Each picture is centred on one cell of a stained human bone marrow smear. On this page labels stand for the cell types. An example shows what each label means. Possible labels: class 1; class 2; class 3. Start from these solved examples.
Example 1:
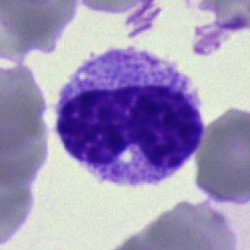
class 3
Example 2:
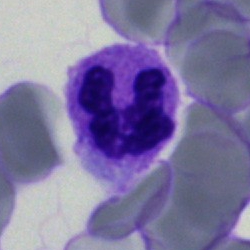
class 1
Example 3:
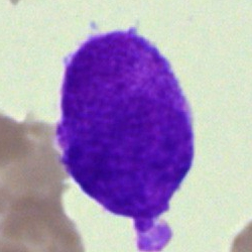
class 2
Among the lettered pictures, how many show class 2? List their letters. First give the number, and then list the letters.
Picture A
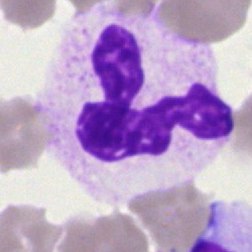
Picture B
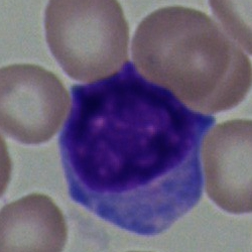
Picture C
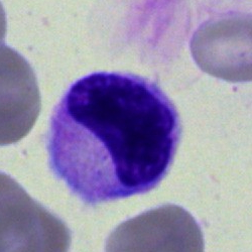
1: B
